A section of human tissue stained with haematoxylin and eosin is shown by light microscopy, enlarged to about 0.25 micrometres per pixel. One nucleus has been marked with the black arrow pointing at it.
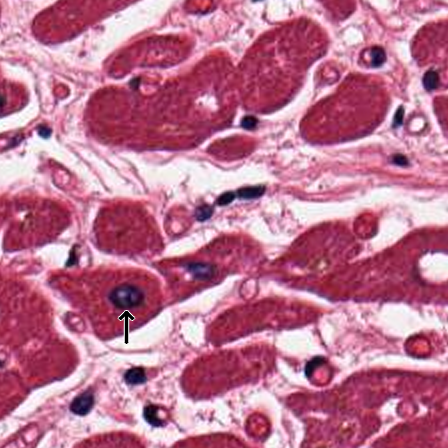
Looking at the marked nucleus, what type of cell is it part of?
cardiomyocyte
